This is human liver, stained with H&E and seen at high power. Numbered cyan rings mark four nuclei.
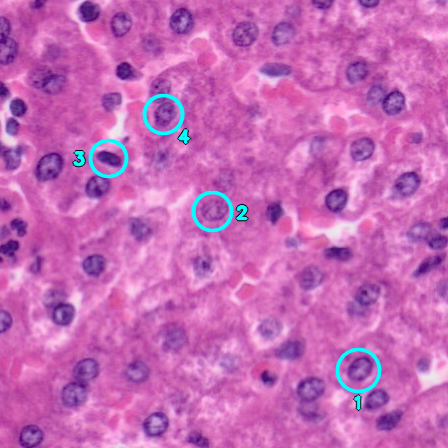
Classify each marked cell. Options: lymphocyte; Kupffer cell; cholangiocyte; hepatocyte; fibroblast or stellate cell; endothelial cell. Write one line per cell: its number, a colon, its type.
1: hepatocyte
2: hepatocyte
3: fibroblast or stellate cell
4: hepatocyte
